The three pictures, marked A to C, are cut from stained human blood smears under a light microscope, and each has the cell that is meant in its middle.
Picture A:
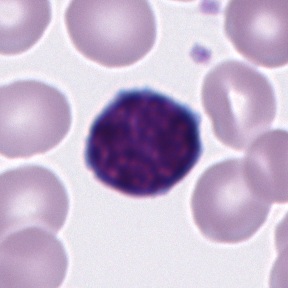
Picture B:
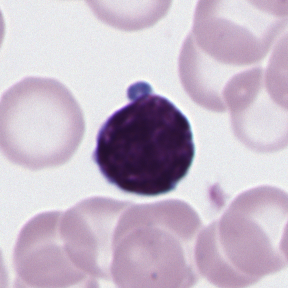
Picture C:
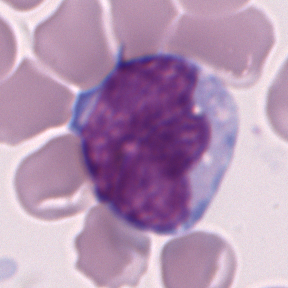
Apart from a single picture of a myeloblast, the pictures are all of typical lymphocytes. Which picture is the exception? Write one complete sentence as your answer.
Picture C is the one that shows the myeloblast.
